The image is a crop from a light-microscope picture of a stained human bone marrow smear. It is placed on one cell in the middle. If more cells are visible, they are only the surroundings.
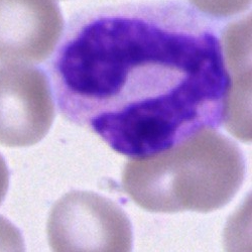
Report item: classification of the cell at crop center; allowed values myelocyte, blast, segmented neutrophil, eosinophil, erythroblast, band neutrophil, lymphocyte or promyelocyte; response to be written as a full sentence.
Located at the centre of the crop is a band neutrophil.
